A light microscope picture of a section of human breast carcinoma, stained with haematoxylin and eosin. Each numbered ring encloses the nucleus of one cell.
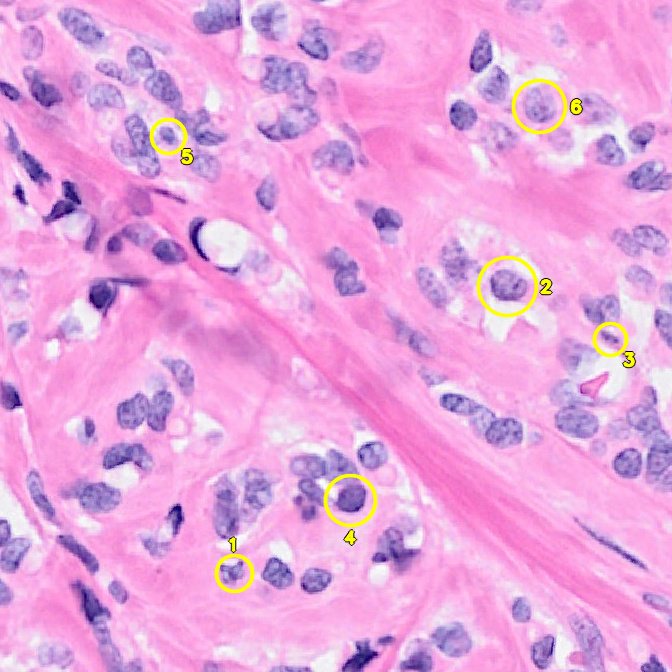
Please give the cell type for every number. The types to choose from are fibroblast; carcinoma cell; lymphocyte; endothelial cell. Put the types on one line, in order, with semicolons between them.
endothelial cell; carcinoma cell; endothelial cell; carcinoma cell; lymphocyte; carcinoma cell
